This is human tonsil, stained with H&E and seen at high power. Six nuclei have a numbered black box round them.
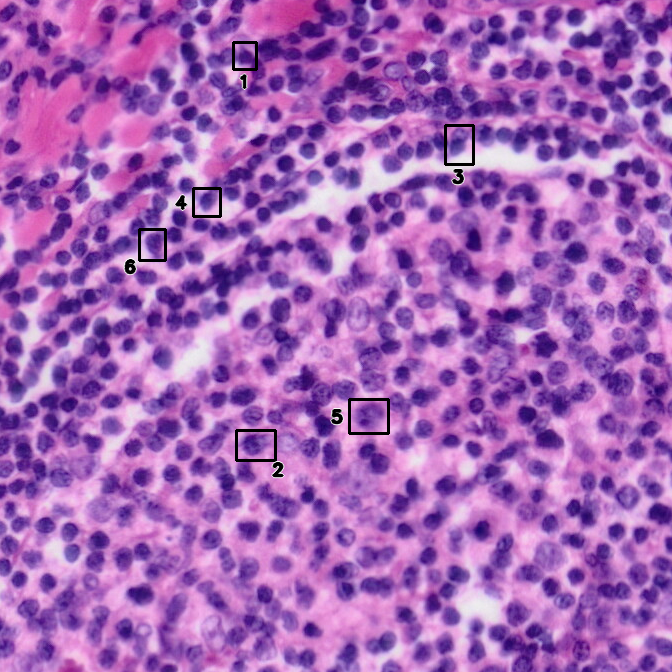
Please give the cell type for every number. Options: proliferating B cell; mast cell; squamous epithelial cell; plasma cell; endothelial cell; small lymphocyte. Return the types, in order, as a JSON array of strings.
["small lymphocyte", "proliferating B cell", "small lymphocyte", "small lymphocyte", "proliferating B cell", "small lymphocyte"]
